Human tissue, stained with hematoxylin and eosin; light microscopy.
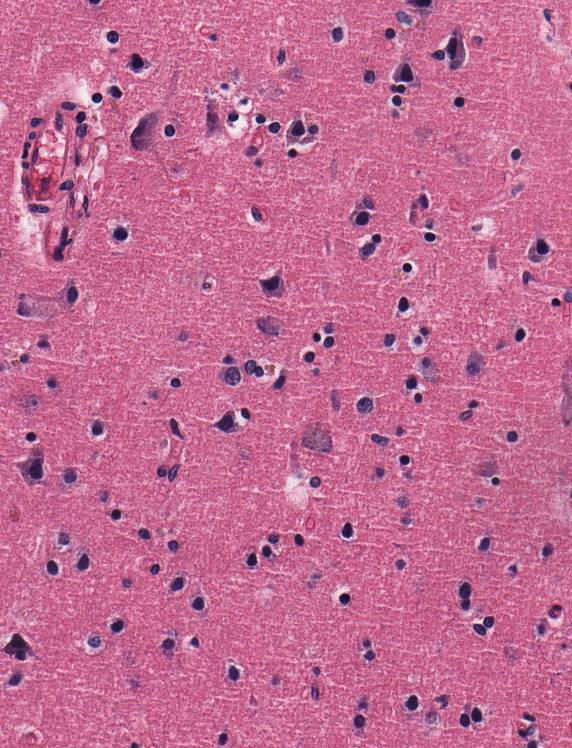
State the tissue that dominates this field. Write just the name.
cerebral cortex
